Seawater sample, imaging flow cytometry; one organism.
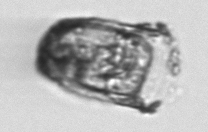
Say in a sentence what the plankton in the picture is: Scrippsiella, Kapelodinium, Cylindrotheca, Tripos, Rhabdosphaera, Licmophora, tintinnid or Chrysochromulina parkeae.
This is a tintinnid.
